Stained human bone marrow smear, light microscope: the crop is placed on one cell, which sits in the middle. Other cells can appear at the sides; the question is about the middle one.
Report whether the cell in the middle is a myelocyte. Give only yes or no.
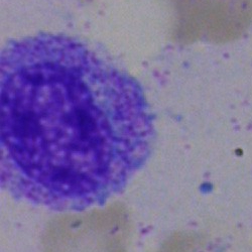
yes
